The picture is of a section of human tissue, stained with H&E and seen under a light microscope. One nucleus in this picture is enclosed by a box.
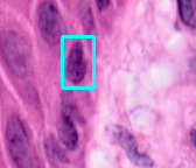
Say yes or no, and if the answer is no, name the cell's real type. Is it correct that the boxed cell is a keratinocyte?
Yes.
